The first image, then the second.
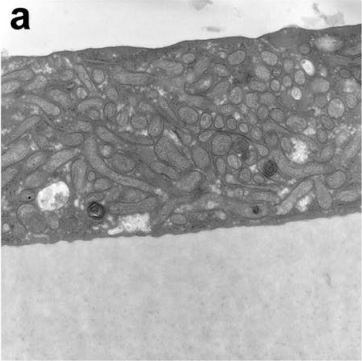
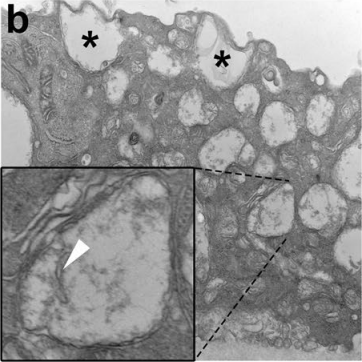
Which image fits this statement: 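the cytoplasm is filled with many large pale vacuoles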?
the second image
